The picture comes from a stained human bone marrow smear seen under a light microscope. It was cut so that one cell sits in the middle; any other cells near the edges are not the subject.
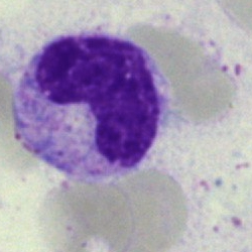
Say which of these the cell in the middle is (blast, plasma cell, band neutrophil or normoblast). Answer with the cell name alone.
band neutrophil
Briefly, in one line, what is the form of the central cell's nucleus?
Round, oval or kidney-shaped, the nucleus is one compact mass.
